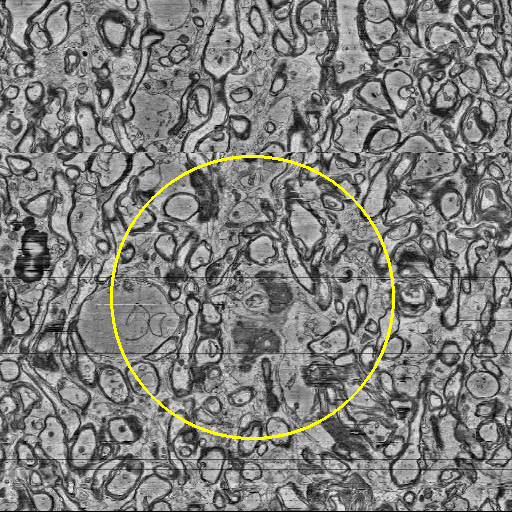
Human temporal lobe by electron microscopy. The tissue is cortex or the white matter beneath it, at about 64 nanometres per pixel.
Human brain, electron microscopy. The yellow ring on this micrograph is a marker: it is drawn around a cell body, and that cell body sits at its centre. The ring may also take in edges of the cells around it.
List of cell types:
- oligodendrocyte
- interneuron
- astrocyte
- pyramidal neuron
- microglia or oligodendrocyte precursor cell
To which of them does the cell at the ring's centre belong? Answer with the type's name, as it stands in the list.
microglia or oligodendrocyte precursor cell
